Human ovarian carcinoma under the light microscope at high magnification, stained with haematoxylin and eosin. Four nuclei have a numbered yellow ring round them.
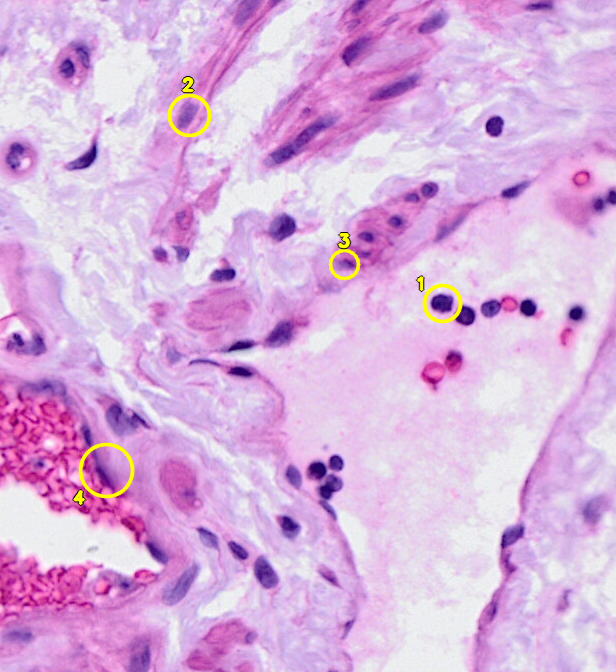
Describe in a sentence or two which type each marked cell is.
Cell 1 is a lymphocyte. Cells 2 and 3 are smooth muscle cells. Cell 4 is an endothelial cell.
